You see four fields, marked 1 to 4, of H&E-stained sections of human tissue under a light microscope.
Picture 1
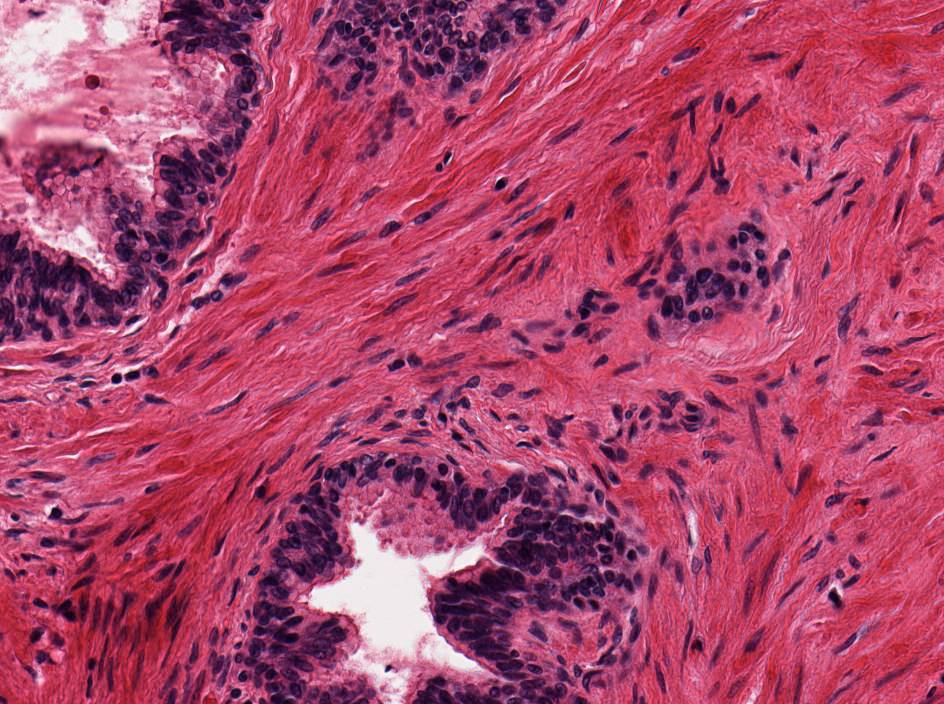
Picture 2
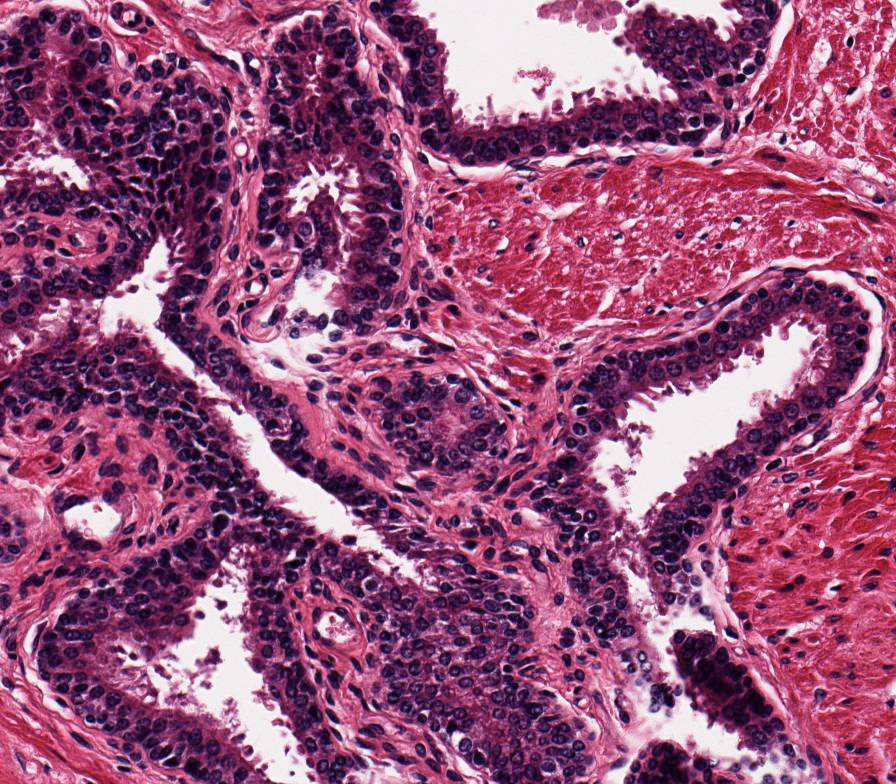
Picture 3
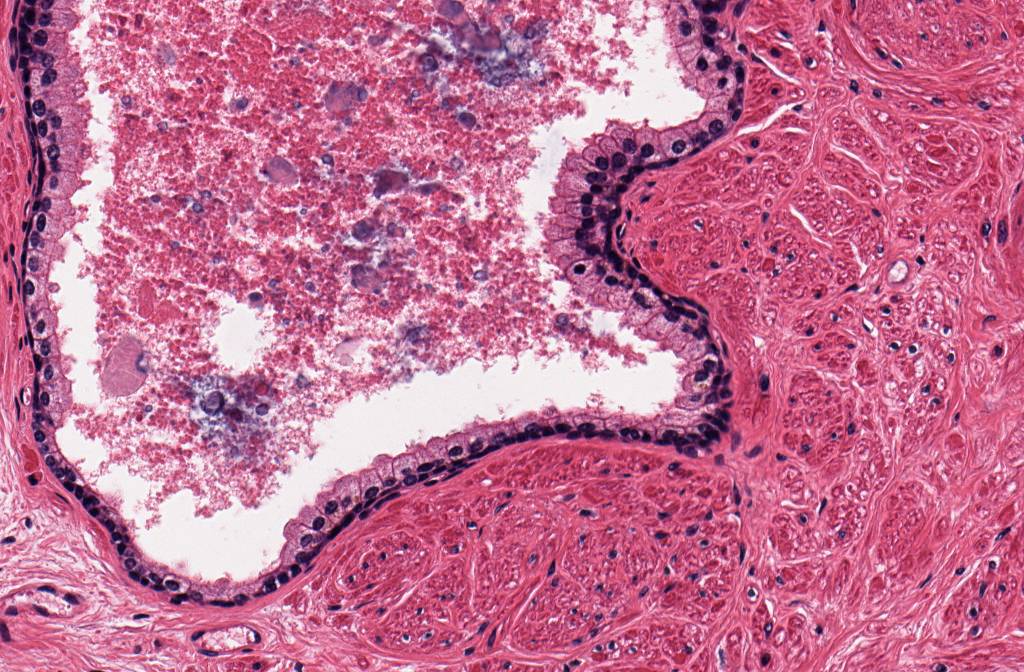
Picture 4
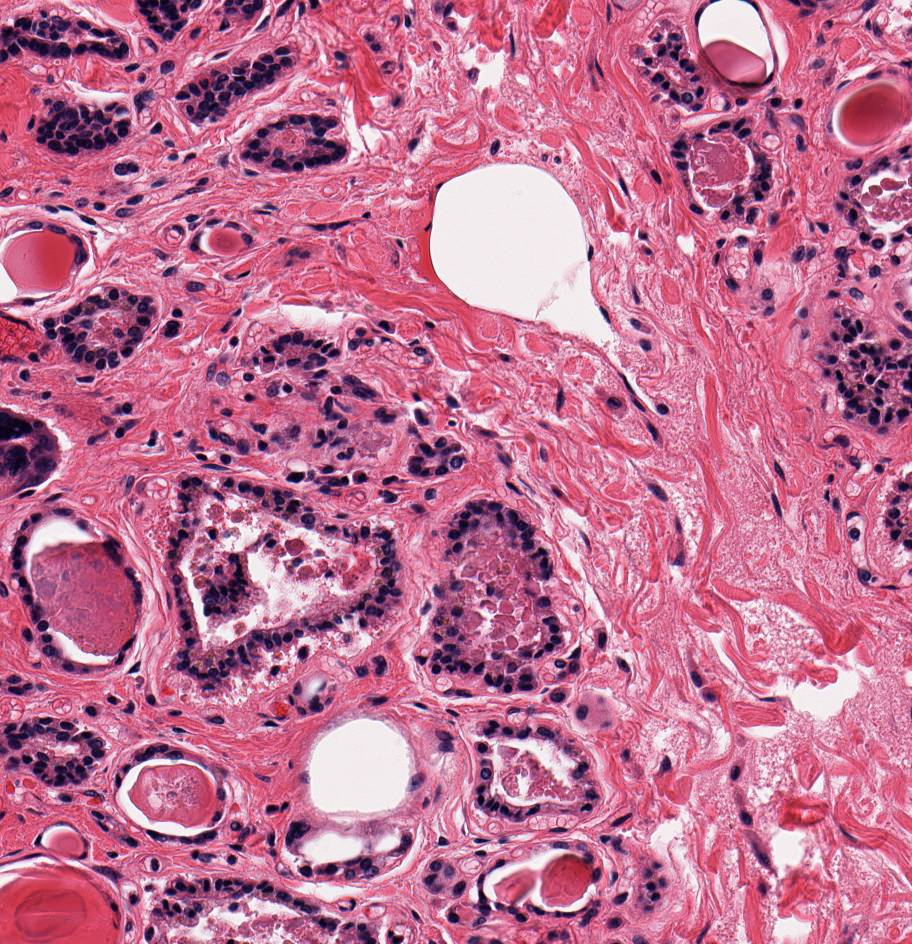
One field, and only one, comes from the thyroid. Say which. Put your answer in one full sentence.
Picture 4 comes from the thyroid.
